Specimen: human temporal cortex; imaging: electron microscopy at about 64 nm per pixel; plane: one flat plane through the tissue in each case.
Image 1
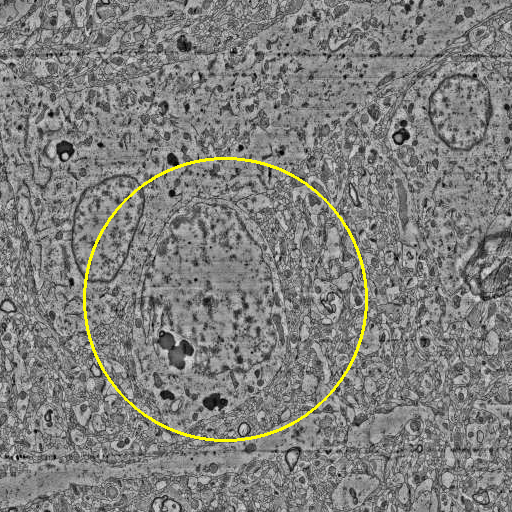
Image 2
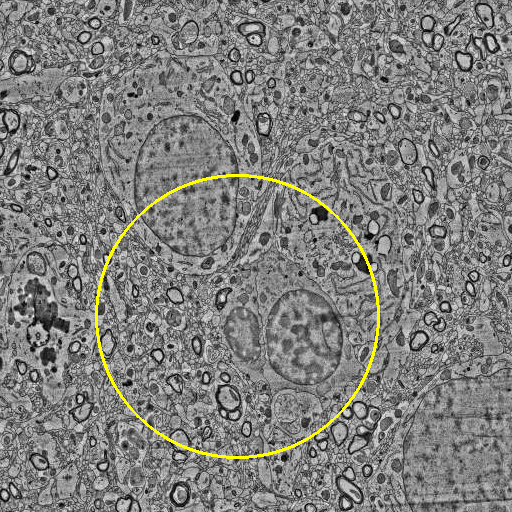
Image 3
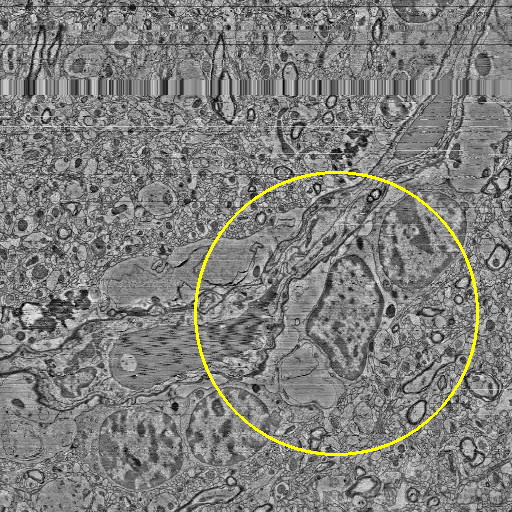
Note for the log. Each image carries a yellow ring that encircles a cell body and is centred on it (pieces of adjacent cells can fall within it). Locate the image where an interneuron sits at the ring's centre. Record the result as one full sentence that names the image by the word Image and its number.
Image 1 has the wanted cell sitting at the centre of its ring.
